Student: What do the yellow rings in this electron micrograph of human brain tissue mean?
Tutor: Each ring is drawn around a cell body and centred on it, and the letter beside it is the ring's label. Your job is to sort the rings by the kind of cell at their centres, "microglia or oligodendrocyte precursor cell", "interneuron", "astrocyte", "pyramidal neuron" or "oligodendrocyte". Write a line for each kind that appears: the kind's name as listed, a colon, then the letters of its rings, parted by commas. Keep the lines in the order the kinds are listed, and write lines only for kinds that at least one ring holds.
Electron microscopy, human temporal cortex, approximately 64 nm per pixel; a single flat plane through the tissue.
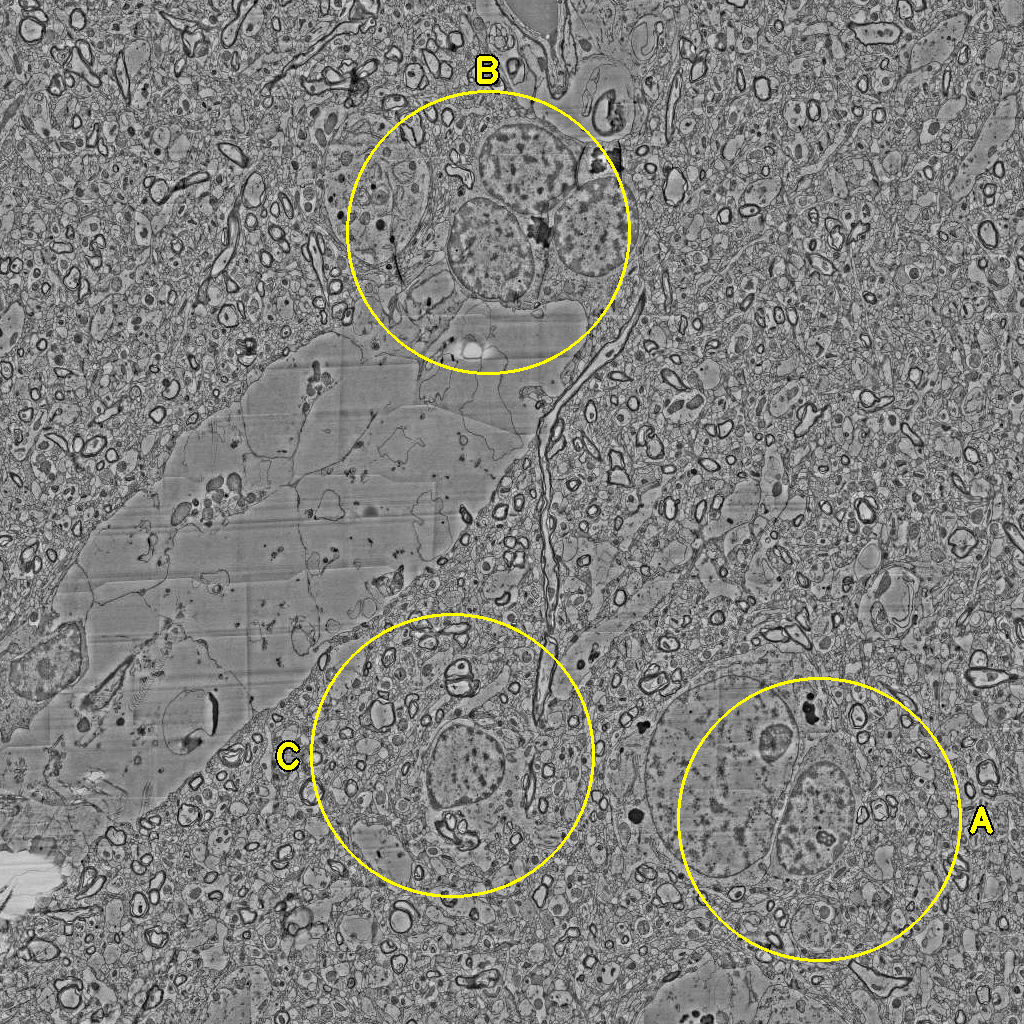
microglia or oligodendrocyte precursor cell: C
oligodendrocyte: A, B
